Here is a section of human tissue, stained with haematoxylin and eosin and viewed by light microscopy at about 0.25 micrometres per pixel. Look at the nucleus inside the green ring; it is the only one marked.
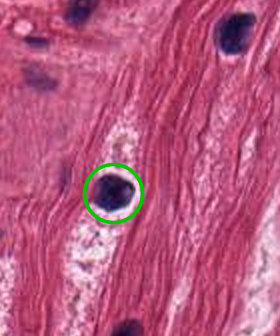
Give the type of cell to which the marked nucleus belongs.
cardiomyocyte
